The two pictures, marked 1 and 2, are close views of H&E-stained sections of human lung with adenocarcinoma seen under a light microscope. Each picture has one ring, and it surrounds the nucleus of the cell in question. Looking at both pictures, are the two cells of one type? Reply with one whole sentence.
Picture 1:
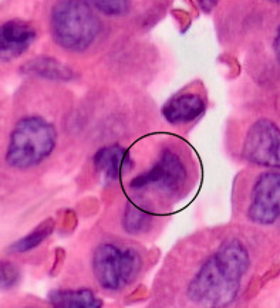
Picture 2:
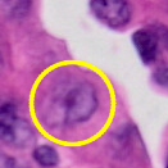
Yes, both are carcinoma cells.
